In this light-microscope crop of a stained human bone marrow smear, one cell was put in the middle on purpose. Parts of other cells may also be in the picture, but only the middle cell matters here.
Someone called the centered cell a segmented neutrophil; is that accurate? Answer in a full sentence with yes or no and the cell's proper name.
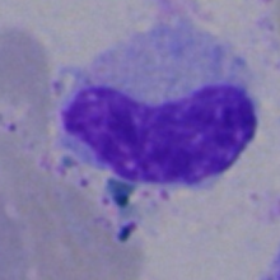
No, rather than being a segmented neutrophil, the central cell is a band neutrophil.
